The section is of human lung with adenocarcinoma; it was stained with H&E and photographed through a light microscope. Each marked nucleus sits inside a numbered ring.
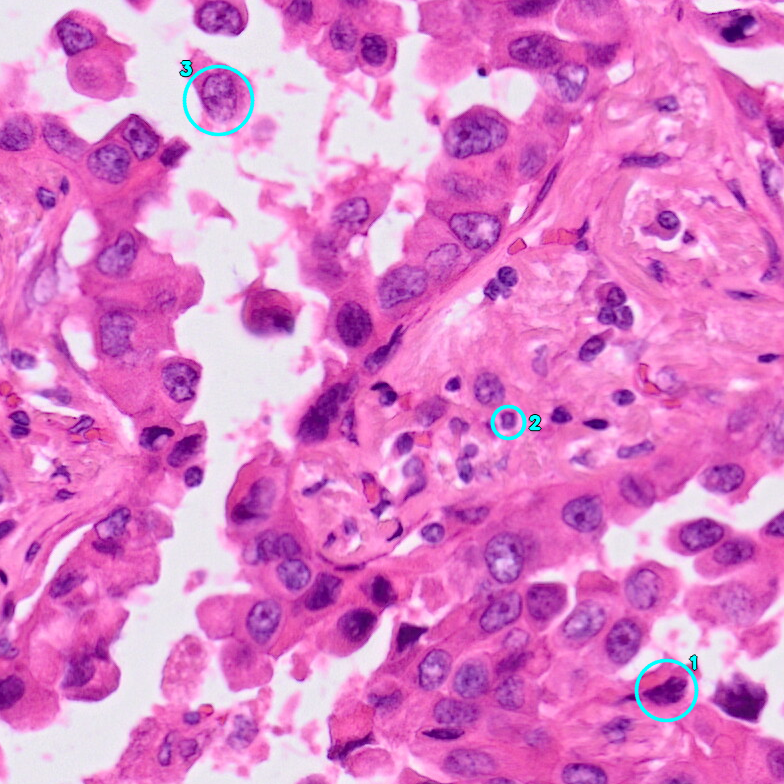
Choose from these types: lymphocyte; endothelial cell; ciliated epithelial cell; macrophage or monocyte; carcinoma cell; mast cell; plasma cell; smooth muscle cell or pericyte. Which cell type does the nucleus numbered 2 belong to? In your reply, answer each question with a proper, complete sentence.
That cell with number 2 is a lymphocyte.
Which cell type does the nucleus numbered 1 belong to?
What the number 1 marks in this field is a carcinoma cell.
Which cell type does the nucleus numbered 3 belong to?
The one labeled 3 is a carcinoma cell, to put it simply.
